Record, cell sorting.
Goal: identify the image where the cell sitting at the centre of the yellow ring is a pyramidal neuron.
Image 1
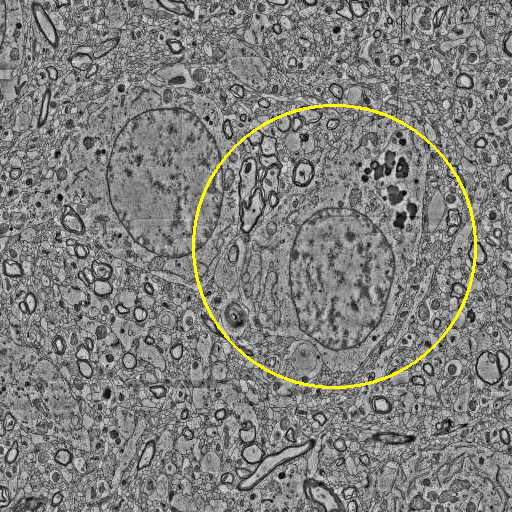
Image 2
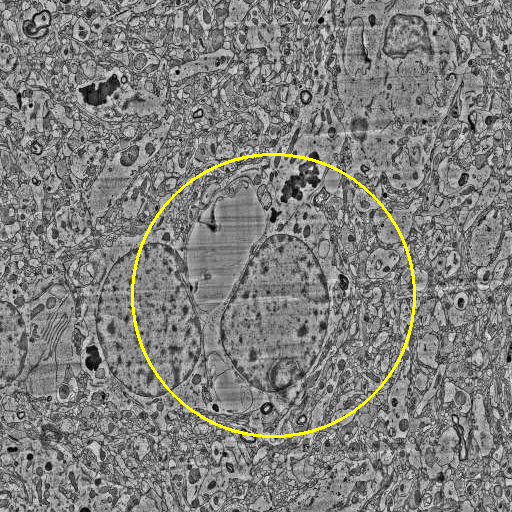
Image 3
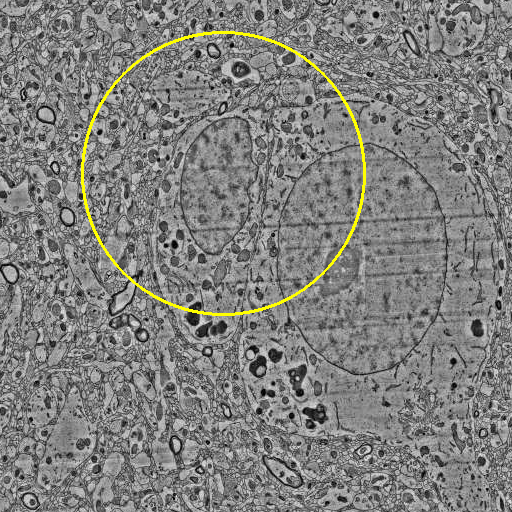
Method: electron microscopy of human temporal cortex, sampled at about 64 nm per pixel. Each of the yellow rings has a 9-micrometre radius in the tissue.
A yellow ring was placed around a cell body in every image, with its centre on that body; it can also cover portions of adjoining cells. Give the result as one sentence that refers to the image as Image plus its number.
Image 1 shows the requested cell sitting right at the centre of its ring.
